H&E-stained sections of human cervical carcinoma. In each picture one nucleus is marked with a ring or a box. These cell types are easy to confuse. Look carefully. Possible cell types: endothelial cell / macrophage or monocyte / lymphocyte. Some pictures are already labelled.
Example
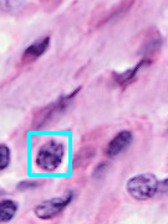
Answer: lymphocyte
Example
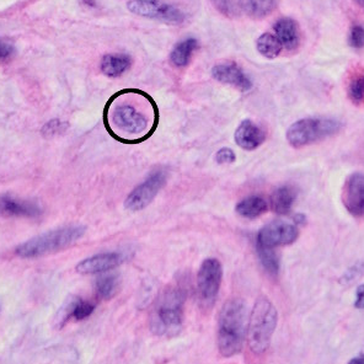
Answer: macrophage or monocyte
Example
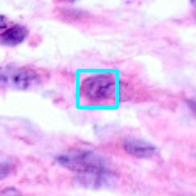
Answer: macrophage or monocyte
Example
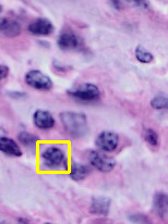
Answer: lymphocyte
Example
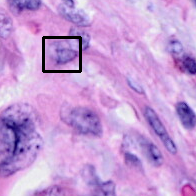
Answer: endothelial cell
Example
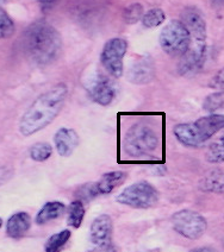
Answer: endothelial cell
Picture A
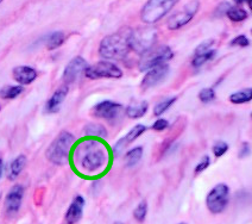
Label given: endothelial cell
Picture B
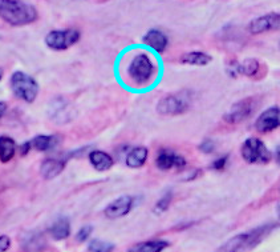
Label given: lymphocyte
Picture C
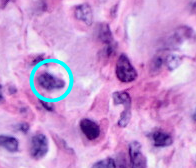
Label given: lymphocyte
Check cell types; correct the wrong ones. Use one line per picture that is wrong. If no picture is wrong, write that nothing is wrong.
All correct.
